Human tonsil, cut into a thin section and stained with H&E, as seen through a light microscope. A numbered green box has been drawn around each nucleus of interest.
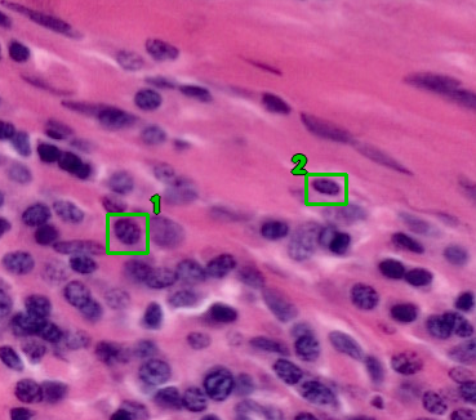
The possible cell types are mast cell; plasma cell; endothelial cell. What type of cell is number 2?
mast cell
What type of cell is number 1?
plasma cell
